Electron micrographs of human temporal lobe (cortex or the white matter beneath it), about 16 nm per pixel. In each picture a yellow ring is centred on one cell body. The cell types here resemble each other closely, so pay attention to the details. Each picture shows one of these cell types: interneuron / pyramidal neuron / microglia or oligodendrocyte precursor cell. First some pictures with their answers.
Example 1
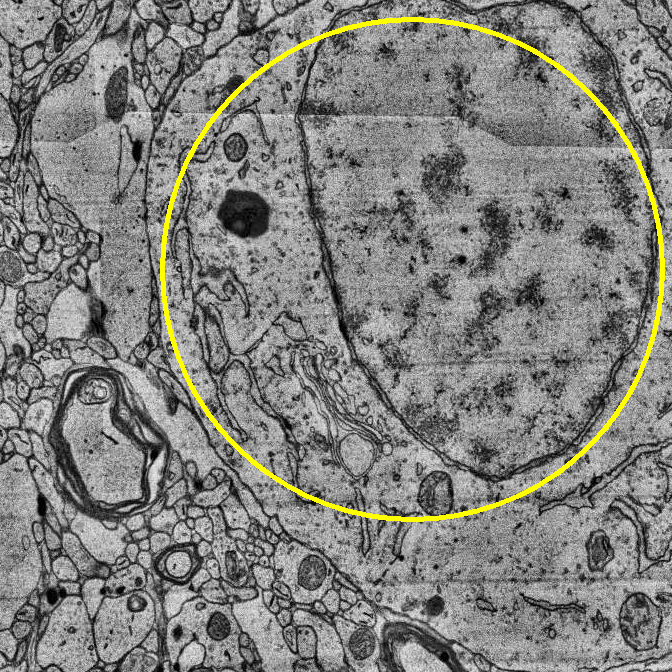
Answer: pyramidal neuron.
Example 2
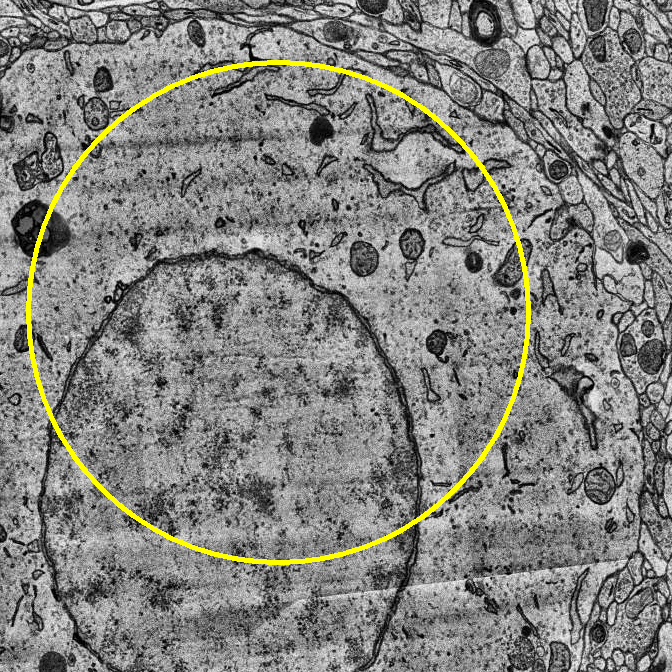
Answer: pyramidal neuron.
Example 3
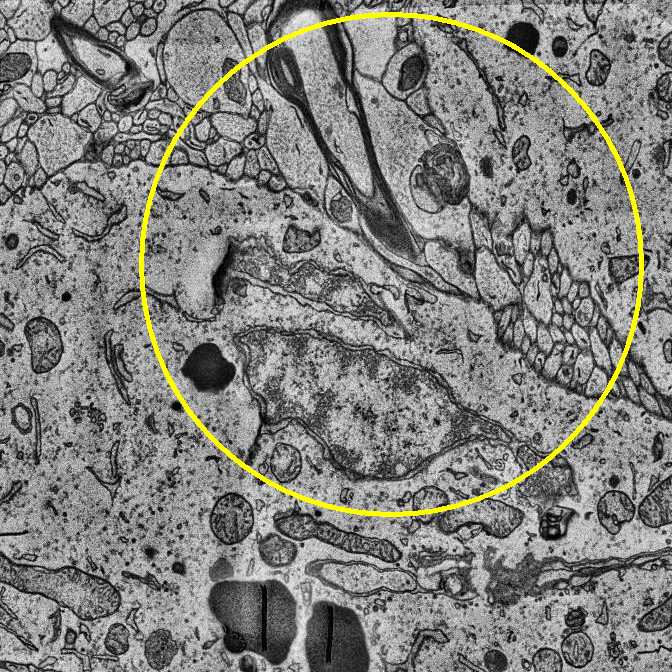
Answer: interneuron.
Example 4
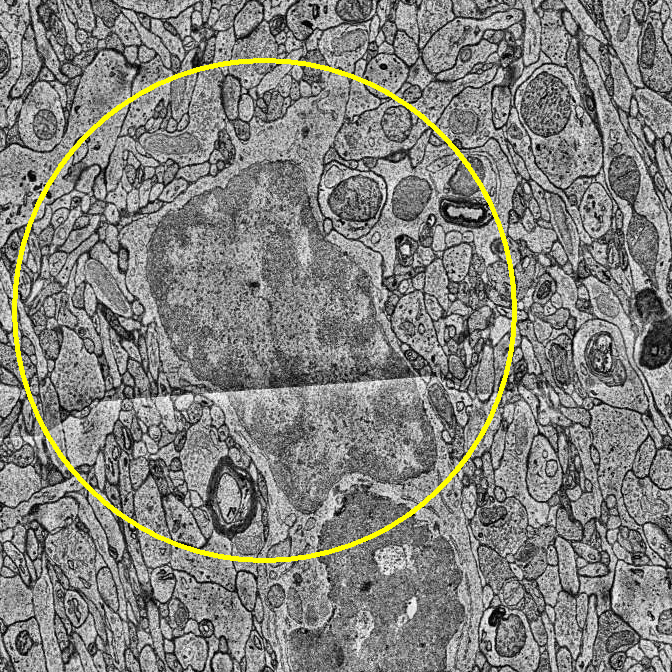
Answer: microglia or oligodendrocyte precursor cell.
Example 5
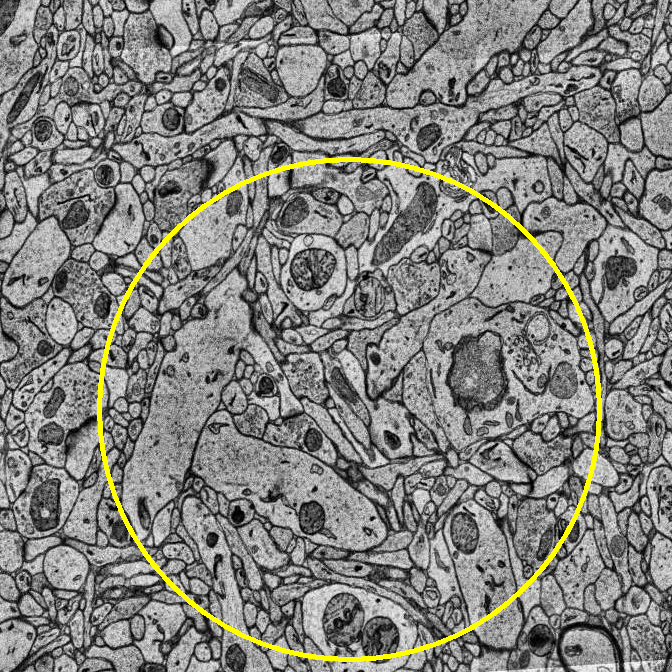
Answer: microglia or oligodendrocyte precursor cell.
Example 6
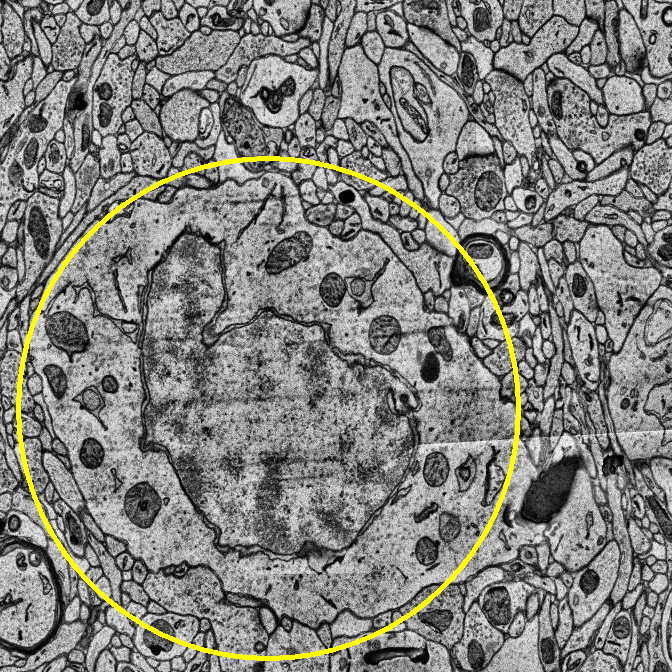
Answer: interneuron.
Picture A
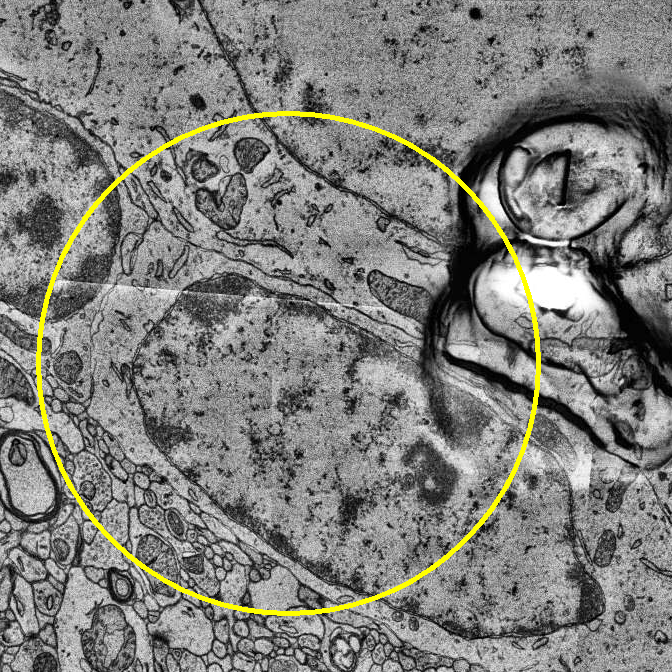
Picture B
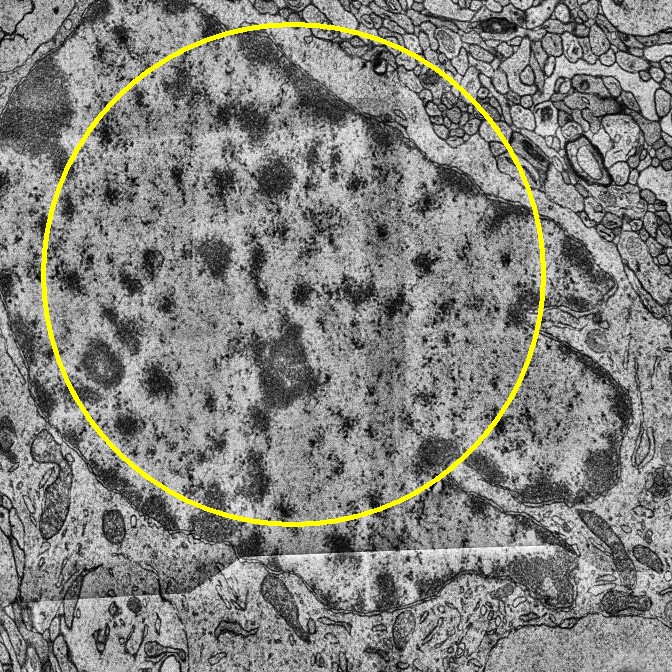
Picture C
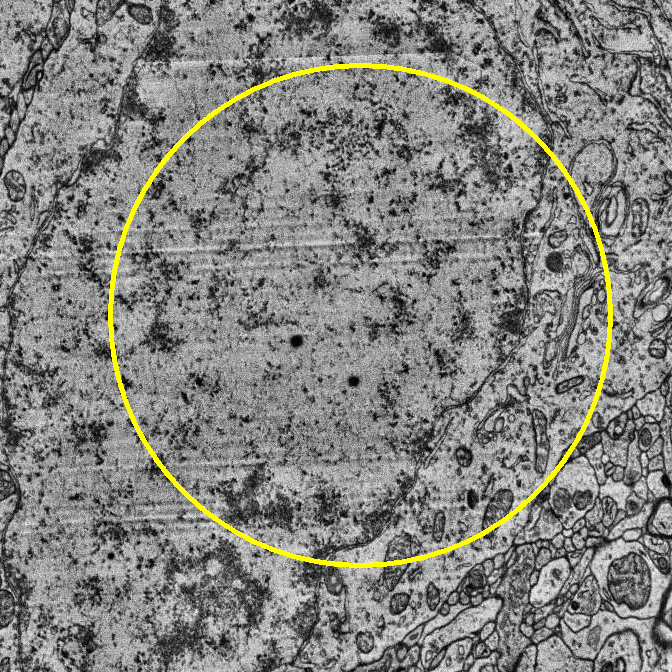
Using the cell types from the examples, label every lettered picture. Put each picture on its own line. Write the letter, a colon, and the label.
A: microglia or oligodendrocyte precursor cell.
B: microglia or oligodendrocyte precursor cell.
C: interneuron.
